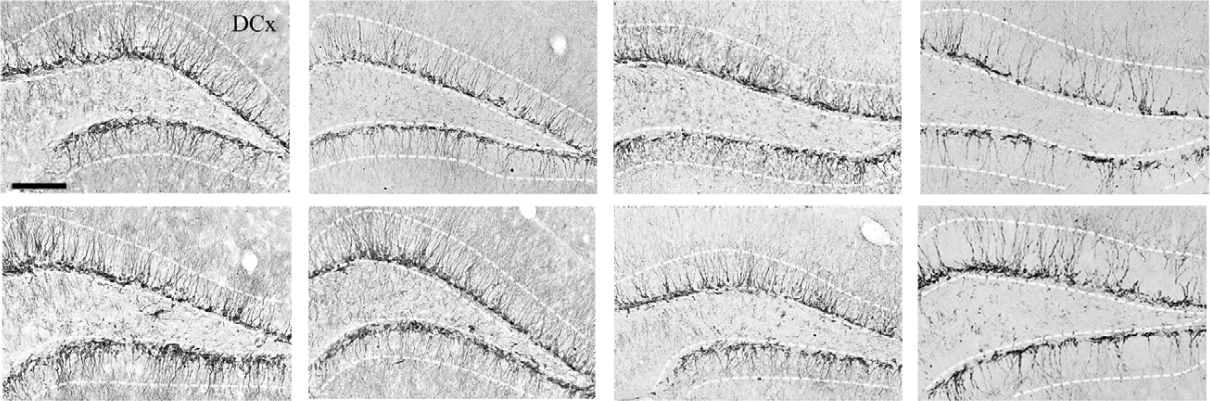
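These are sections of the hippocampal dentate gyrus, in which the two curved blades of the granule cell layer are outlined by dashed lines. Darkly stained cell bodies sit in a row along the inner edge of each blade, facing the pale central region. From them, thin dark processes run radially across the granule cell layer toward and into the outer layer, giving each blade a combed look. In some sections the row of stained cells and their processes is sparser than in others.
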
